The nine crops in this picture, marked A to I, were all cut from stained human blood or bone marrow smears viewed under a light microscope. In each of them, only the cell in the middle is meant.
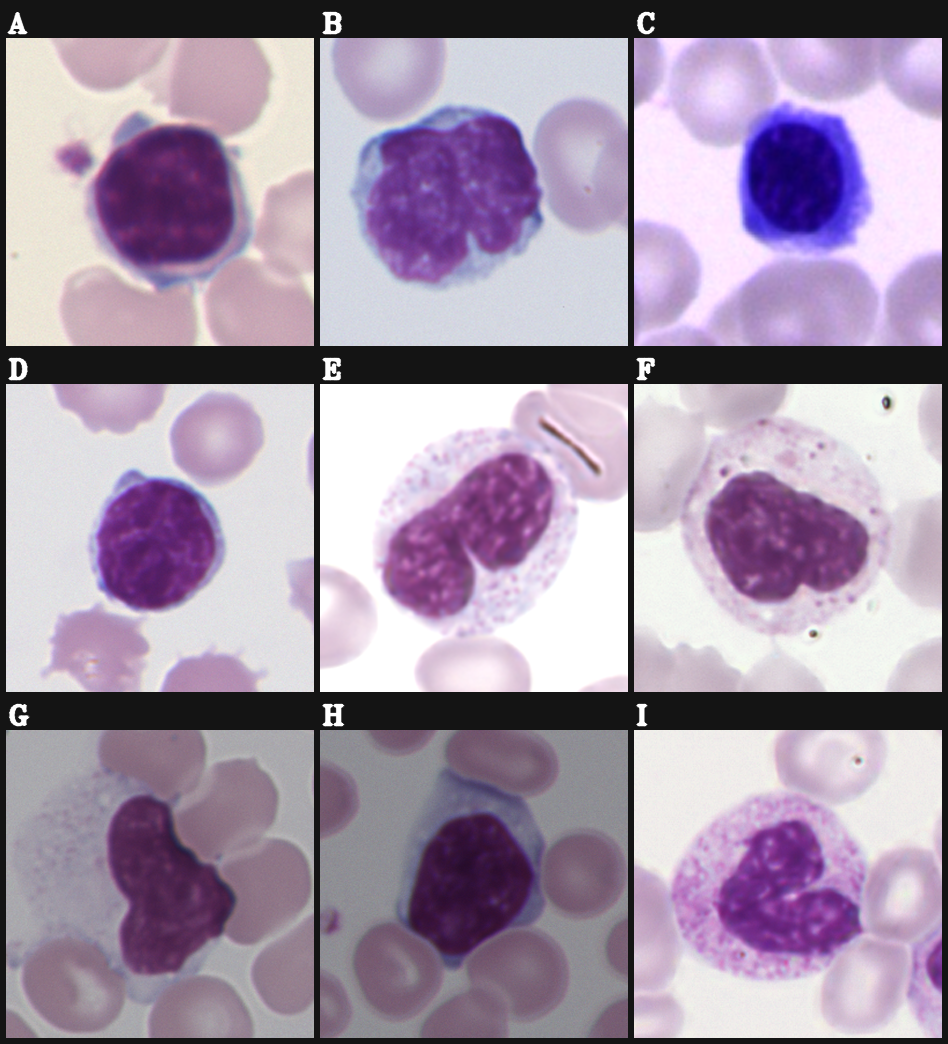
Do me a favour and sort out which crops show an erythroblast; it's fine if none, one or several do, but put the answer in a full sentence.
Among these crops, only crop C contains an erythroblast.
